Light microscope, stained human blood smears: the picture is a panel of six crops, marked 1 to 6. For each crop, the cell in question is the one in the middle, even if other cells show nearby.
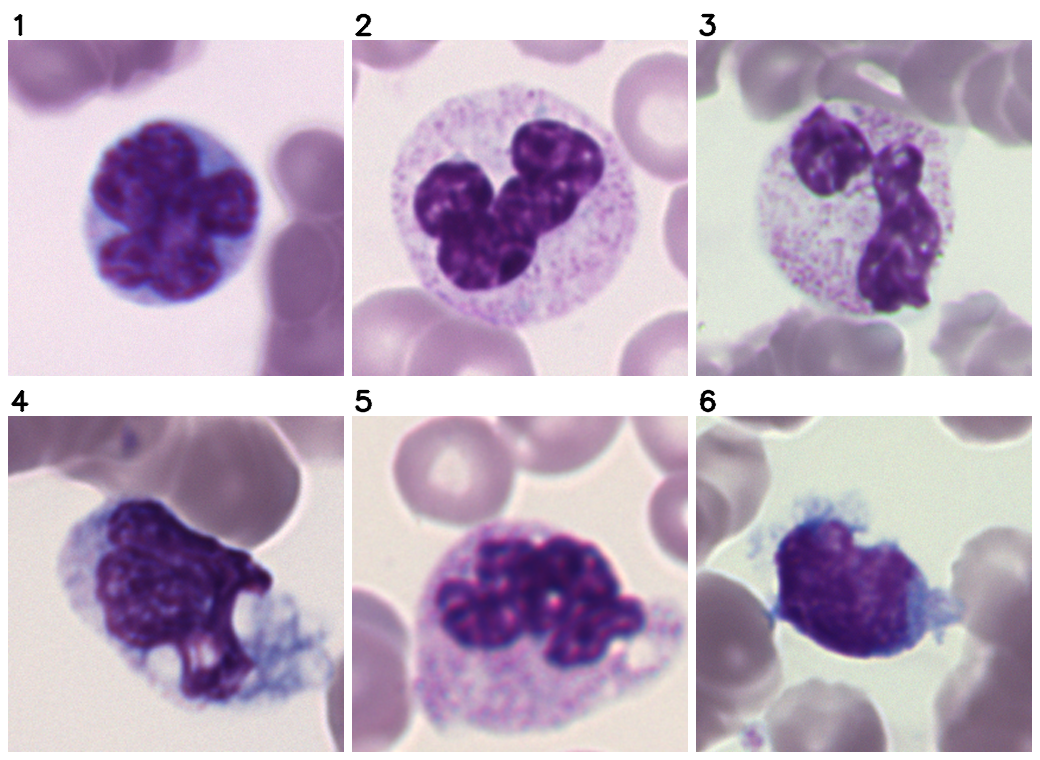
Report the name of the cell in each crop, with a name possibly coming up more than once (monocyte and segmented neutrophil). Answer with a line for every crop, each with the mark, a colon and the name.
1: monocyte
2: segmented neutrophil
3: segmented neutrophil
4: monocyte
5: segmented neutrophil
6: monocyte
